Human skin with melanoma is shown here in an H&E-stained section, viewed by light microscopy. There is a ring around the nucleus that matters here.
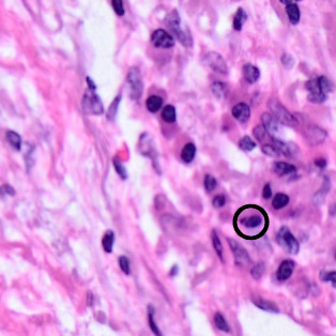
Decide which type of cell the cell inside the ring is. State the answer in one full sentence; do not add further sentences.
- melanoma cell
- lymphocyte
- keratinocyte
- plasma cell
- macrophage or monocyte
In the tissue at hand, the cell inside the ring is a plasma cell.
